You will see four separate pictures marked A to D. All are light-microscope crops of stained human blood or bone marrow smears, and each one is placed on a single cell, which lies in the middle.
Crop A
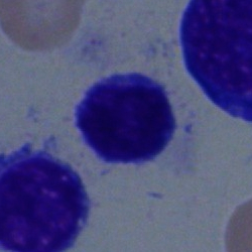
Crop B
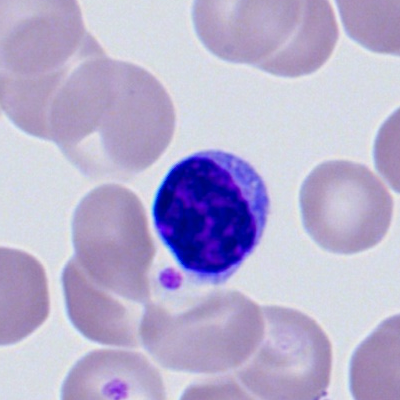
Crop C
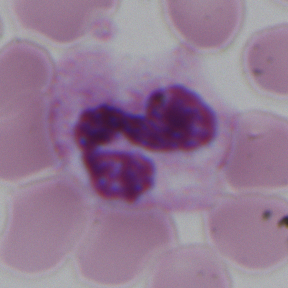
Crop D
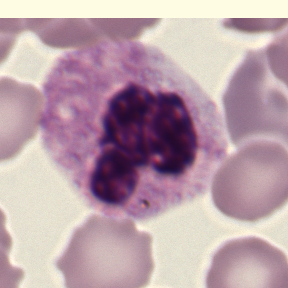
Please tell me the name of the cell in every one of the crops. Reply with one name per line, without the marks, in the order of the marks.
lymphocyte
lymphocyte
segmented neutrophil
segmented neutrophil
